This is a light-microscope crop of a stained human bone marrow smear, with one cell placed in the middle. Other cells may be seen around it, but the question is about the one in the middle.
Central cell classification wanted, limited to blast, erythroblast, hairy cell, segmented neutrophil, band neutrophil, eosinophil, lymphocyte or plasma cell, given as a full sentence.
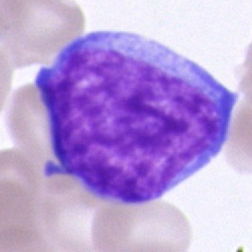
The crop centres on a single cell, and that cell is a blast.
